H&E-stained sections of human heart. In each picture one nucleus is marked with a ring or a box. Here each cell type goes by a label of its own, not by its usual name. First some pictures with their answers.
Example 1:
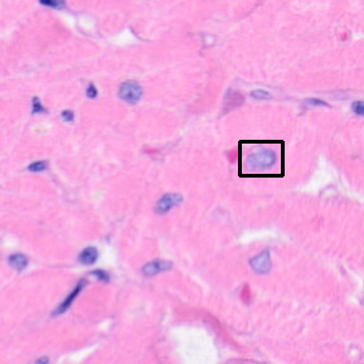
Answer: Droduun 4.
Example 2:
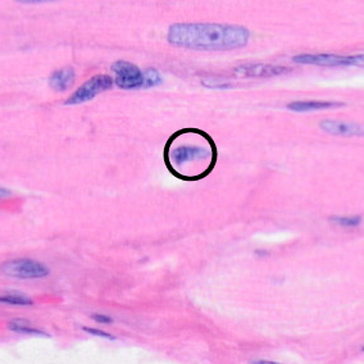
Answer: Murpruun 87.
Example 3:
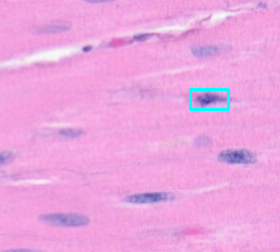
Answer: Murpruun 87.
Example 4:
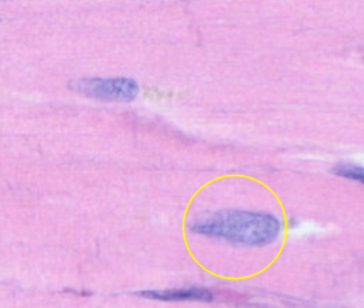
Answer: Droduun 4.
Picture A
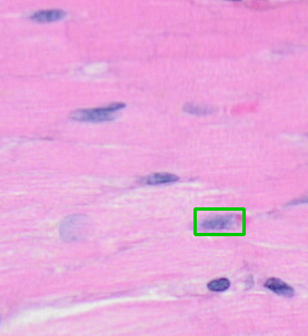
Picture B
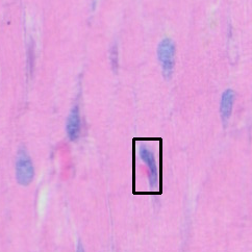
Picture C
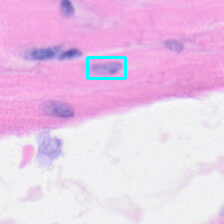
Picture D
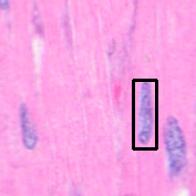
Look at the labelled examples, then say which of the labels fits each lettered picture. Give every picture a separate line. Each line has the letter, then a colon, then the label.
A: Murpruun 87.
B: Murpruun 87.
C: Droduun 4.
D: Droduun 4.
